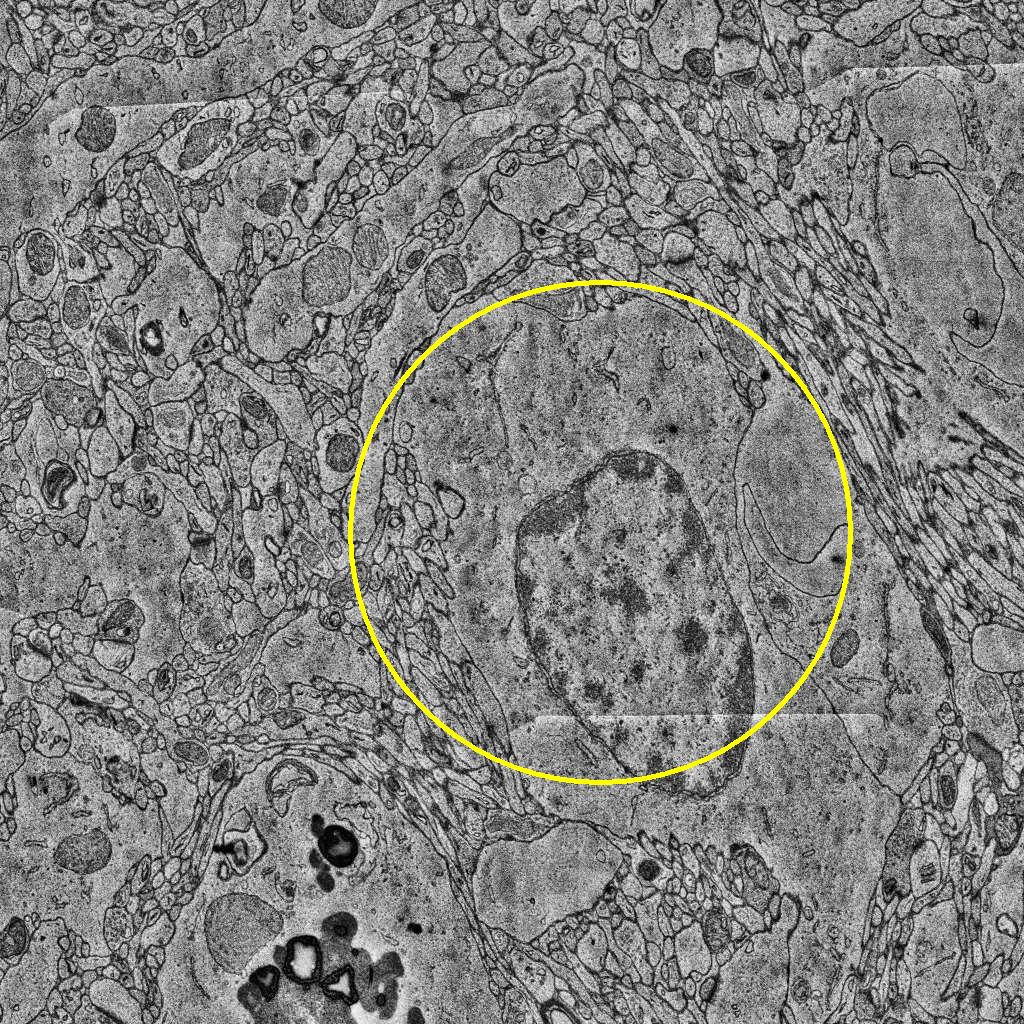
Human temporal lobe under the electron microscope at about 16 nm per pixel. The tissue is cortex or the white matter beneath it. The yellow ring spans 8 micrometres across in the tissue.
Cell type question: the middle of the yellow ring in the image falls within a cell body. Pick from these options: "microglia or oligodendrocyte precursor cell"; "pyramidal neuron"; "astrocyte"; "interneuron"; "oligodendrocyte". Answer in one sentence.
The cell body at the center of the ring belongs to an astrocyte.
